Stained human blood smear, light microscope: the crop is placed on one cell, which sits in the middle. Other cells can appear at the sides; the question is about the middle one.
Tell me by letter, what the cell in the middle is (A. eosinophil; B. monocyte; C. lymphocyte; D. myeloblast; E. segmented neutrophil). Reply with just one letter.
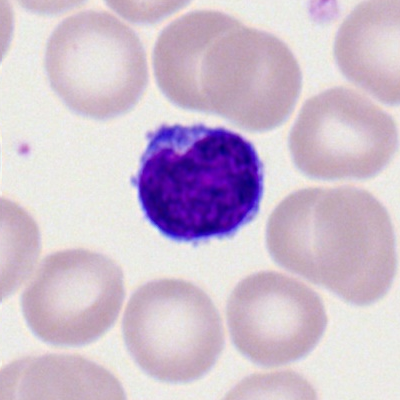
C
